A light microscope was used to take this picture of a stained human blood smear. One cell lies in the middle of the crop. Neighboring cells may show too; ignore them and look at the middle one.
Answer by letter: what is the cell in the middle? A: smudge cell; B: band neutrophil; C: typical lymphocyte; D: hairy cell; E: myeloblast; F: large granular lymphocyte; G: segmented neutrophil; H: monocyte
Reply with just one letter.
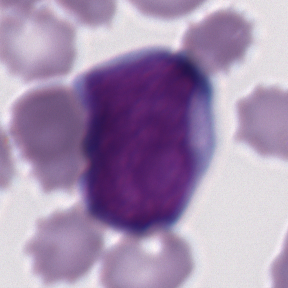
E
